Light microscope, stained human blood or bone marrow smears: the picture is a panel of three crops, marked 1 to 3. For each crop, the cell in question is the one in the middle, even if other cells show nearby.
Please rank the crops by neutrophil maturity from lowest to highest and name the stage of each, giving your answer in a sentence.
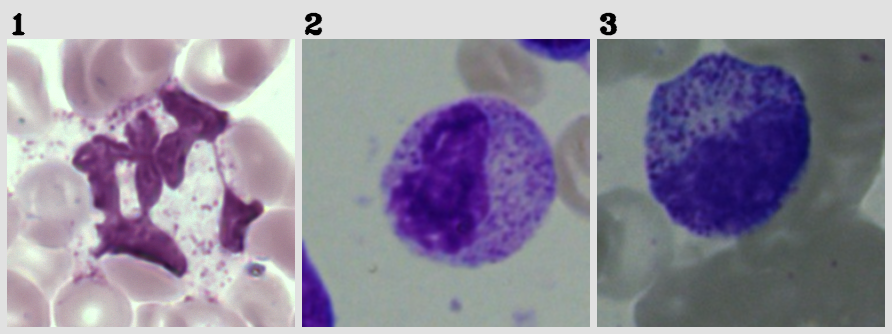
In ascending order of maturity, the cells are crop 3 (a myelocyte), crop 2 (a metamyelocyte) and crop 1 (a segmented neutrophil).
